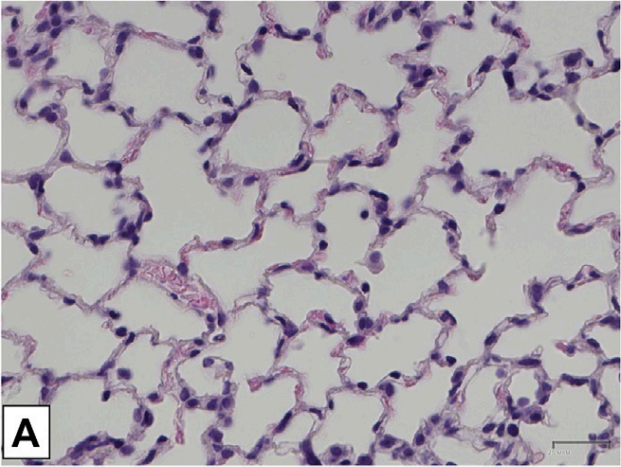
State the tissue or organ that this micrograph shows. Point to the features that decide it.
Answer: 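Lung. Thin, delicate septa surround many open, empty airspaces. Flattened nuclei lie along the thin walls. Septa contain few cells.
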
